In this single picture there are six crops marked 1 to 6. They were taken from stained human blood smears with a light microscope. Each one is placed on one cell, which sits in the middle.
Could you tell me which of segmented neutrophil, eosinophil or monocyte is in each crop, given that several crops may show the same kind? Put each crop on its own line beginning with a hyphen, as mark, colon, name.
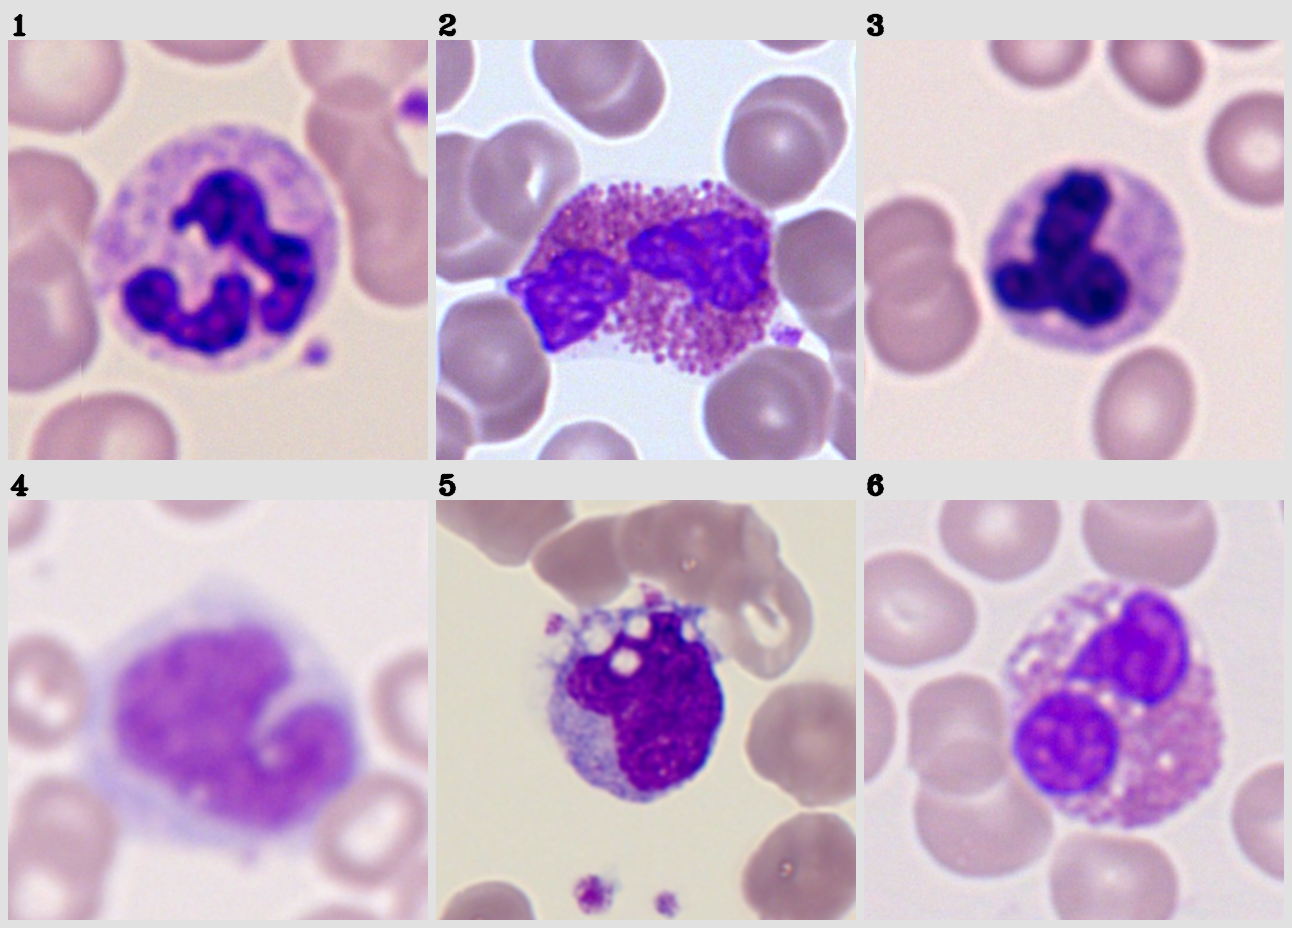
- 1: segmented neutrophil
- 2: eosinophil
- 3: segmented neutrophil
- 4: monocyte
- 5: monocyte
- 6: eosinophil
